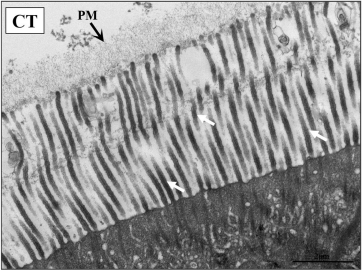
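This transmission electron micrograph shows the apical surface of intestinal epithelium bearing a tall border of densely packed microvilli. The microvilli are slender, dark rods standing parallel to one another and roughly perpendicular to the cell surface, separated by paler gaps. Below them lies the dark, granular apical cytoplasm of the cells. Above the microvillar tips lies a loose, finely granular layer of peritrophic matrix facing the lumen.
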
